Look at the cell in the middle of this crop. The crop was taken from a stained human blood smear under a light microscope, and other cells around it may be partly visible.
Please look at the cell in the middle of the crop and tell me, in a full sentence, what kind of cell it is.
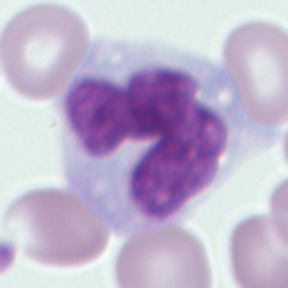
The single cell at the center of the crop is a monocyte.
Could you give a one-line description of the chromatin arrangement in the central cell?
The key point is fine chromatin with no coarse clumps.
